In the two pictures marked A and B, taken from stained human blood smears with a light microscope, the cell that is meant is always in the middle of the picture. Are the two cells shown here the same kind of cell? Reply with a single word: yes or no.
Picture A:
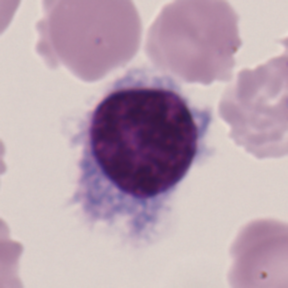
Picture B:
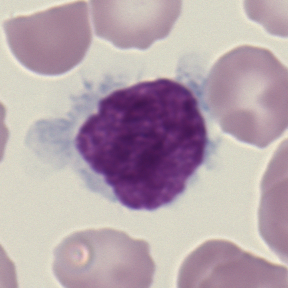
yes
